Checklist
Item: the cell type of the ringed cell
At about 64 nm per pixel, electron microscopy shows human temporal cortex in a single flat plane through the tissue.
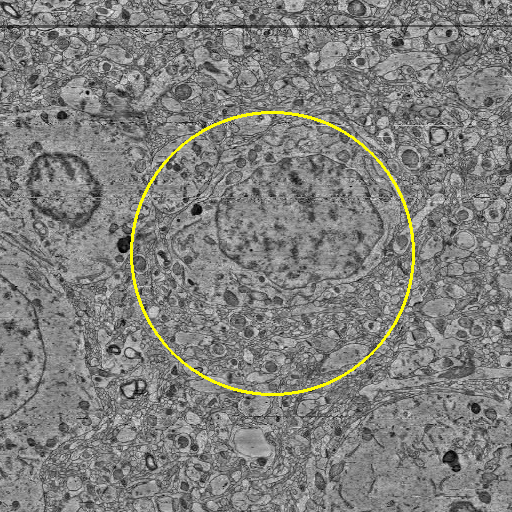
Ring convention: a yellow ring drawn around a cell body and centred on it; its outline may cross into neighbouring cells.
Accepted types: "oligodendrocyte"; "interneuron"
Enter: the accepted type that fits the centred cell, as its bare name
interneuron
